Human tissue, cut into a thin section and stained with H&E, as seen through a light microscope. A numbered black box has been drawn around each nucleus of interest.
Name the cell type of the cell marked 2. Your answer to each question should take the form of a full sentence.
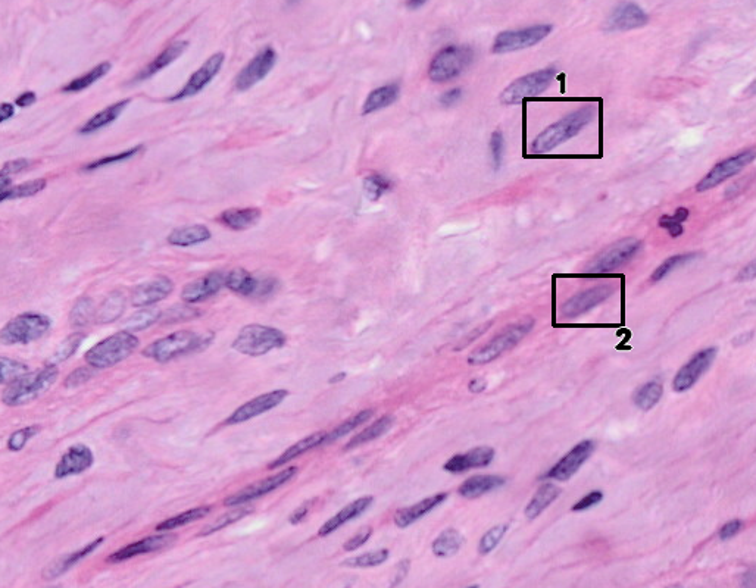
The cell numbered 2 has been identified as an endothelial cell.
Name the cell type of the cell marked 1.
At number 1, the marked cell is a fibroblast.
